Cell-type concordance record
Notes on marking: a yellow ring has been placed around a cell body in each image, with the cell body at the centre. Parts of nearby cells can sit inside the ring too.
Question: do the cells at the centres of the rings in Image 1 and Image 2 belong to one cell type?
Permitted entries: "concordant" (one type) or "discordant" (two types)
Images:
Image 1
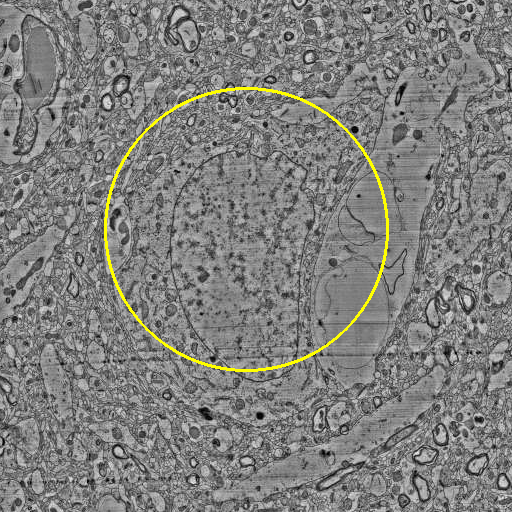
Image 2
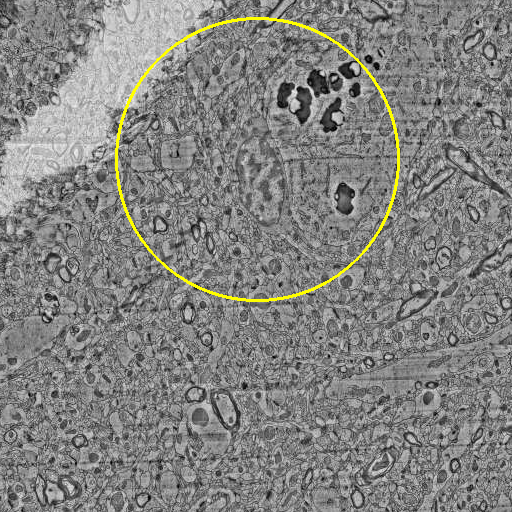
discordant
